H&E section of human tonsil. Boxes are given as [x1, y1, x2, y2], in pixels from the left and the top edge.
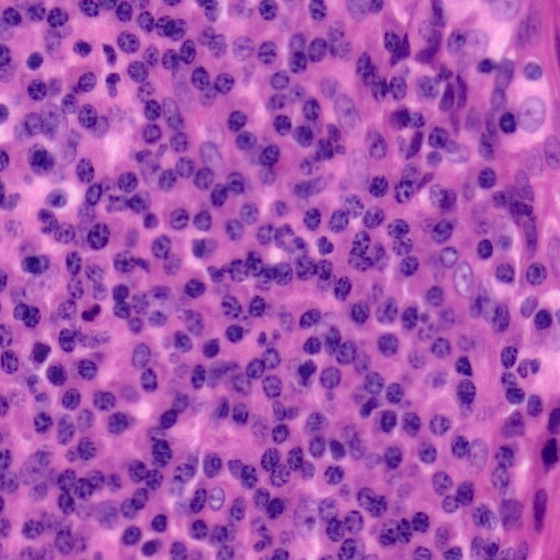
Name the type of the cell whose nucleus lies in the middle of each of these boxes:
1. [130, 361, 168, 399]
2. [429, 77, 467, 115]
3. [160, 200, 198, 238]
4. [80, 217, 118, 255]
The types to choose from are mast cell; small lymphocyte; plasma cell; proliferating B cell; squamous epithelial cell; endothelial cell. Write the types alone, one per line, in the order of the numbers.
plasma cell
squamous epithelial cell
plasma cell
plasma cell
